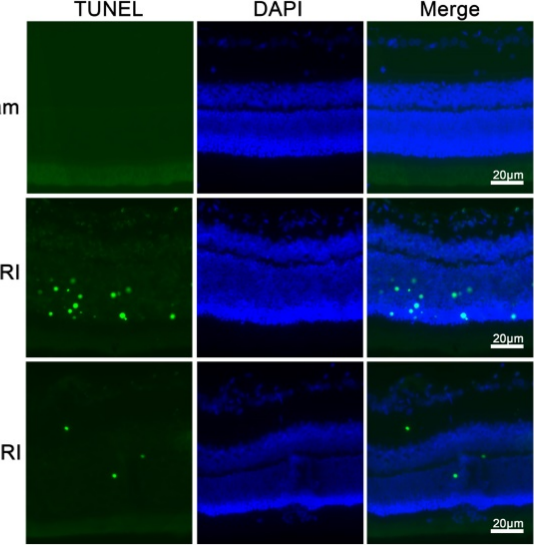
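These are cross-sections of retina, and the blue nuclear stain shows the tissue as horizontal bands of densely packed nuclei separated by paler, nucleus-poor strata. The nuclear layers are easiest to pick out in the blue and merged columns, with a broad, dense band toward the lower part of each section and a thinner nuclear band above it. In the top row the green channel is essentially dark apart from faint background. In the middle row there are many small, bright, round green dots, and in the merged image they lie over the nuclear bands. The bottom row shows only a few scattered green dots. So the number of labelled nuclei differs clearly between the rows, while the layered structure of the retina remains recognisable in all of them.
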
